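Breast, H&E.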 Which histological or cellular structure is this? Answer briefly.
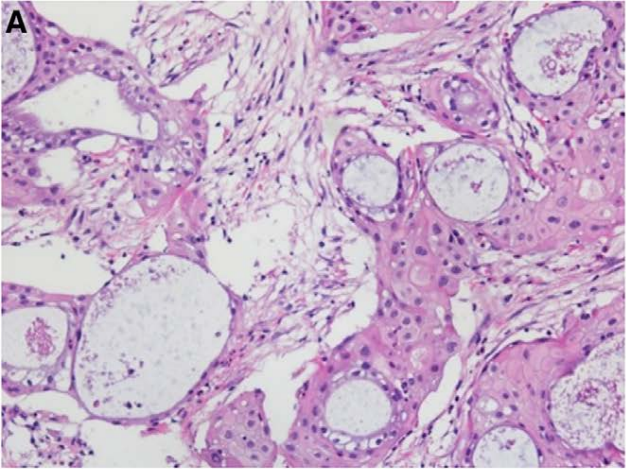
Solid tumor cell nests and central cystic area.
